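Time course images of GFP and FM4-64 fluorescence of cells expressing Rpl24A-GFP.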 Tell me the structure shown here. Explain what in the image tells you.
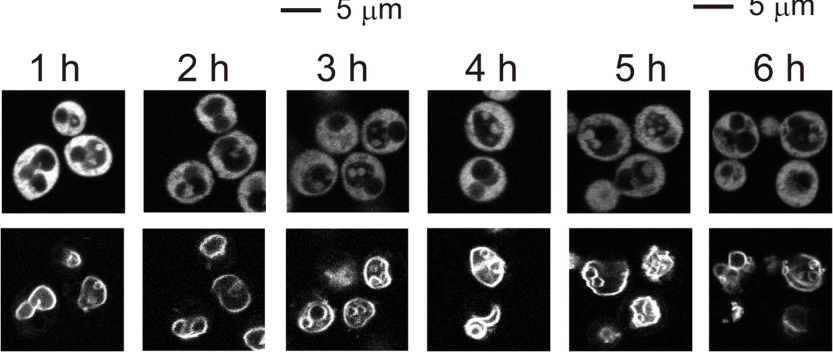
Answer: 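Vesicle-like structures. Small round membrane rings lie inside larger outlined vacuoles in many cells.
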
